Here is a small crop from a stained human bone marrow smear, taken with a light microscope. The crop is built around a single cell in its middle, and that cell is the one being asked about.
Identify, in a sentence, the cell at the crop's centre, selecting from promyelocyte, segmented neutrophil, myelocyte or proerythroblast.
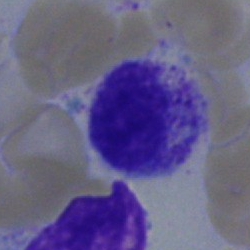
In this smear crop, the middle cell is a myelocyte.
